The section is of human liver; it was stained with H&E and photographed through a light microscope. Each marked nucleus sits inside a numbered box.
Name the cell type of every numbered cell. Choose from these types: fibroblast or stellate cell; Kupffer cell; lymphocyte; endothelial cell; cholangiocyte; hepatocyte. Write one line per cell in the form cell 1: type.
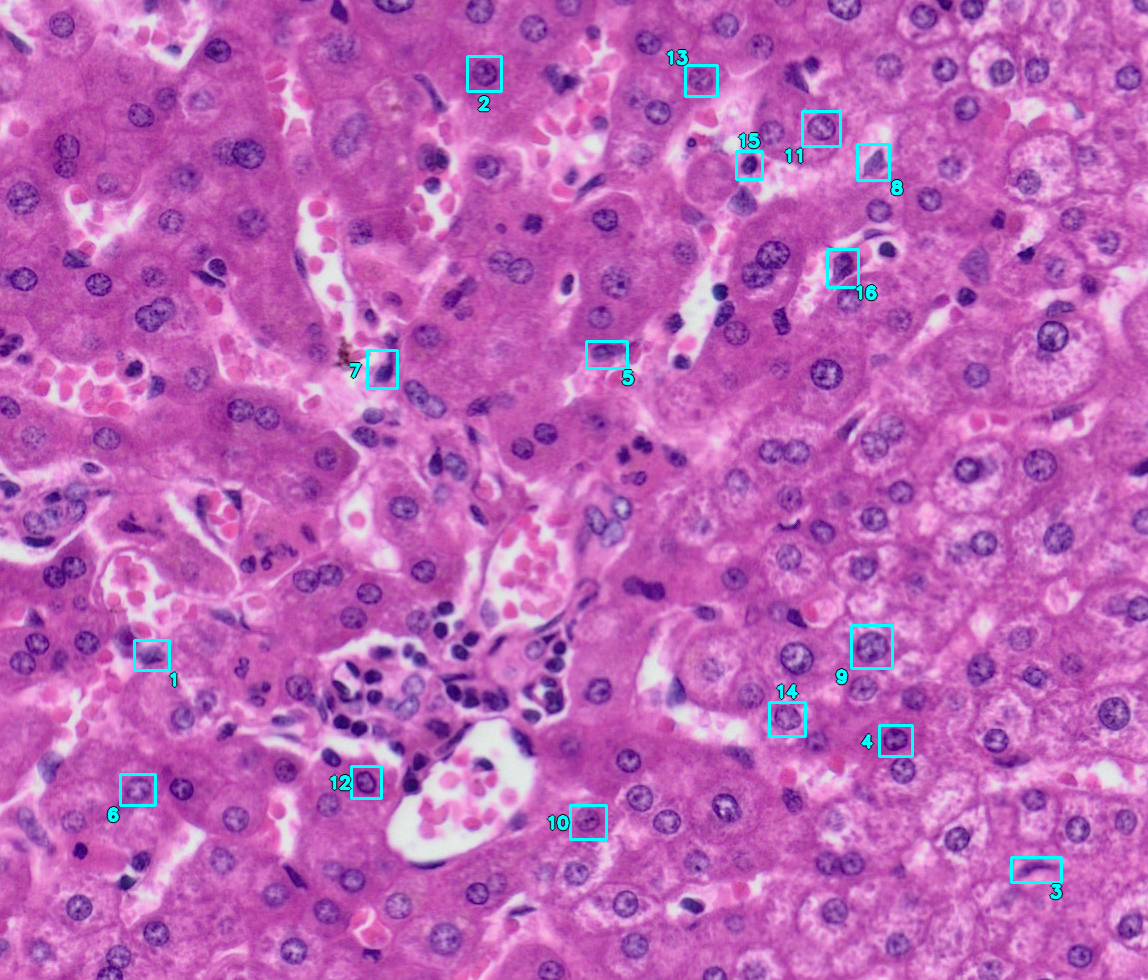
cell 1: fibroblast or stellate cell
cell 2: hepatocyte
cell 3: Kupffer cell
cell 4: hepatocyte
cell 5: fibroblast or stellate cell
cell 6: hepatocyte
cell 7: fibroblast or stellate cell
cell 8: endothelial cell
cell 9: hepatocyte
cell 10: hepatocyte
cell 11: hepatocyte
cell 12: hepatocyte
cell 13: hepatocyte
cell 14: hepatocyte
cell 15: lymphocyte
cell 16: Kupffer cell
